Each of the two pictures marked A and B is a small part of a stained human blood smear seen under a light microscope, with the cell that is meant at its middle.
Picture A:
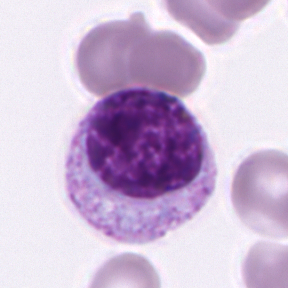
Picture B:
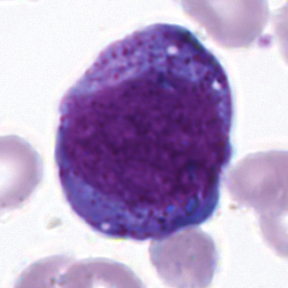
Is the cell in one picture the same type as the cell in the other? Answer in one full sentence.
No, picture A shows a myelocyte and picture B shows a promyelocyte.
